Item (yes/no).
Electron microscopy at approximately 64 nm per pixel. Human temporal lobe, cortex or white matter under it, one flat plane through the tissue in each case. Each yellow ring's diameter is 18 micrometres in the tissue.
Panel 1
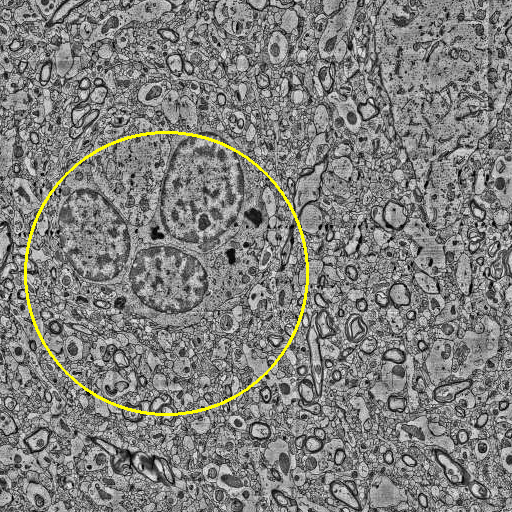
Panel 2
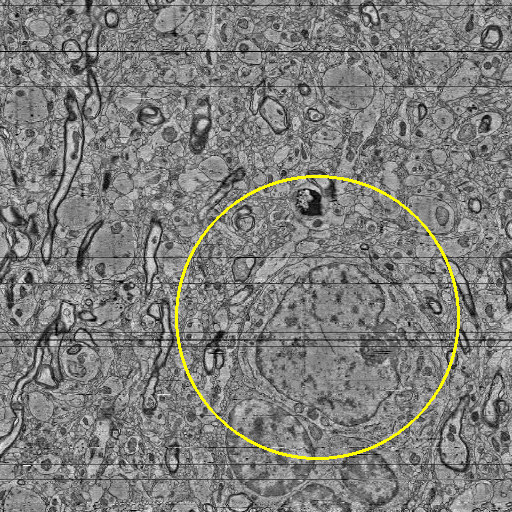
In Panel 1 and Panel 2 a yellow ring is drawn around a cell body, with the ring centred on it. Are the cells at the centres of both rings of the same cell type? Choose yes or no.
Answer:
no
